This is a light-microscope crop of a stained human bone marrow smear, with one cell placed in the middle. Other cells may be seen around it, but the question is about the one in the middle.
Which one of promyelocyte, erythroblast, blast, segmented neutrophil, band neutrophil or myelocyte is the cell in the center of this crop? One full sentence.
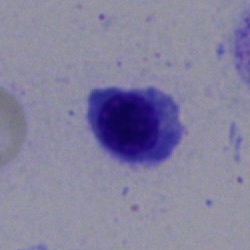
The middle of this crop holds an erythroblast.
